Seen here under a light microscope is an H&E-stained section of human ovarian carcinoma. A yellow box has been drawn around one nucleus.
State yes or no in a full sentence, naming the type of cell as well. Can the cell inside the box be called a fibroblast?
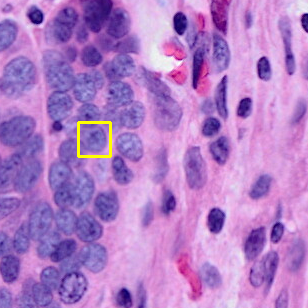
No, it is not a fibroblast but a carcinoma cell that the cell inside the box represents.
